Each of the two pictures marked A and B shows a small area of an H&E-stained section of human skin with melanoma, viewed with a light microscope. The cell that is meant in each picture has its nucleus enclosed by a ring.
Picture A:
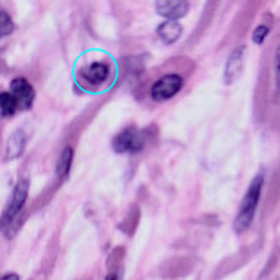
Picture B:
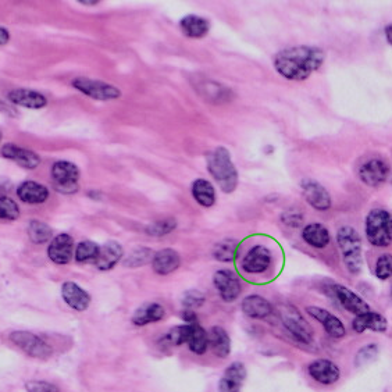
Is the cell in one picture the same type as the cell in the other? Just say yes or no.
yes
